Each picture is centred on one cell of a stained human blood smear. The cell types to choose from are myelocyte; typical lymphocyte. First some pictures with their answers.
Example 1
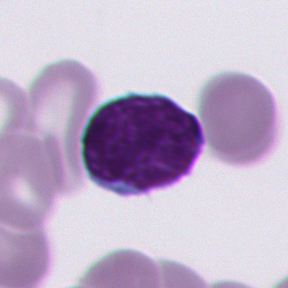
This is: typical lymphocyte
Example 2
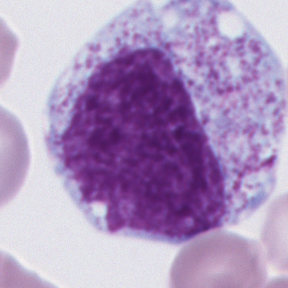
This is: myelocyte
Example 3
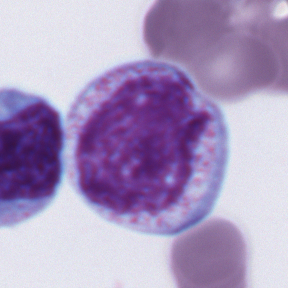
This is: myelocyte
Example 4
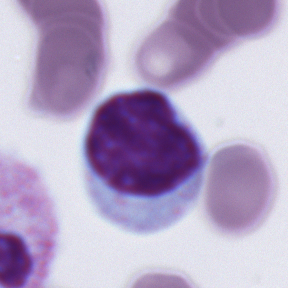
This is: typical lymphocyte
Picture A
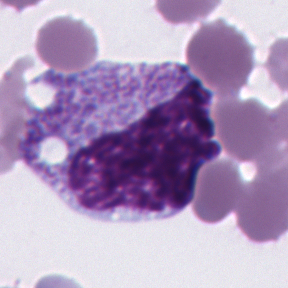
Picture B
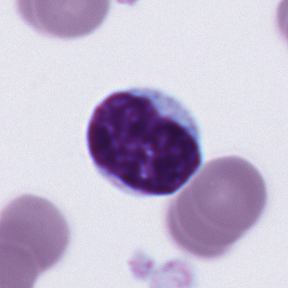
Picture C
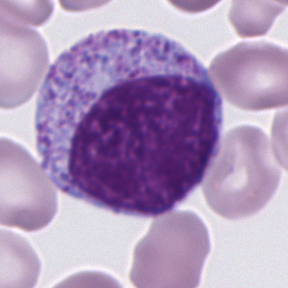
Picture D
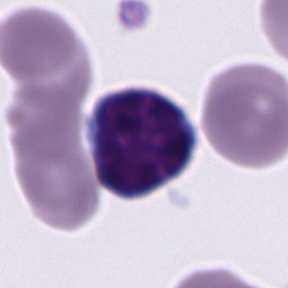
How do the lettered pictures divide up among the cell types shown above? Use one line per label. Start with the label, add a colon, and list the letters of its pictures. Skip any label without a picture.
myelocyte: A, C
typical lymphocyte: B, D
